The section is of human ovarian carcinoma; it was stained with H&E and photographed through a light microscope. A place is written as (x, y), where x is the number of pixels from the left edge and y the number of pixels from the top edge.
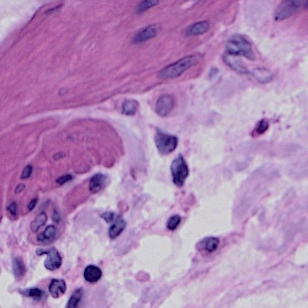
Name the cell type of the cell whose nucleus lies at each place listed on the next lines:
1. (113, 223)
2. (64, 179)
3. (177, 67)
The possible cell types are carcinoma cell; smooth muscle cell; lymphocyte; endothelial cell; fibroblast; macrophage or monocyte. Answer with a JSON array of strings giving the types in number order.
["macrophage or monocyte", "smooth muscle cell", "smooth muscle cell"]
